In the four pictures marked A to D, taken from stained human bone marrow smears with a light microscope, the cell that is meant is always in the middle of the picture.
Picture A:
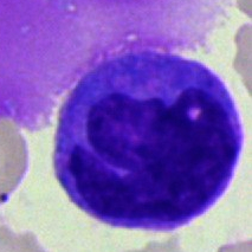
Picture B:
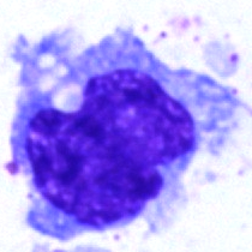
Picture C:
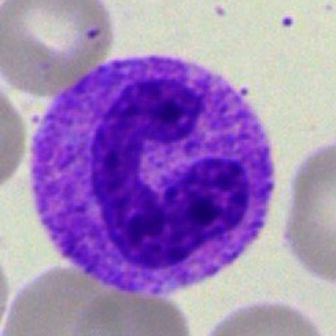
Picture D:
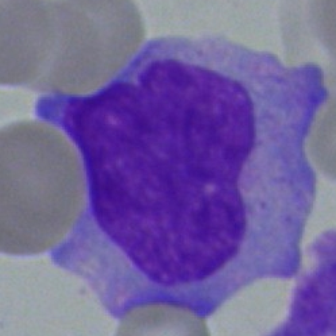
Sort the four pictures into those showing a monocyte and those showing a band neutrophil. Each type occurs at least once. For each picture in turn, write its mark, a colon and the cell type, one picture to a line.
A: monocyte
B: monocyte
C: band neutrophil
D: monocyte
